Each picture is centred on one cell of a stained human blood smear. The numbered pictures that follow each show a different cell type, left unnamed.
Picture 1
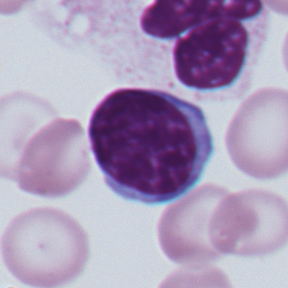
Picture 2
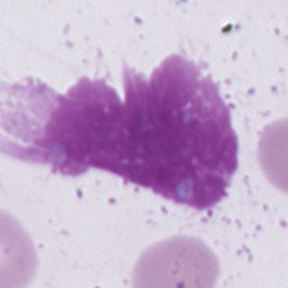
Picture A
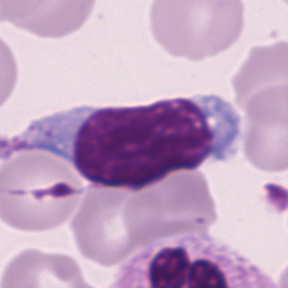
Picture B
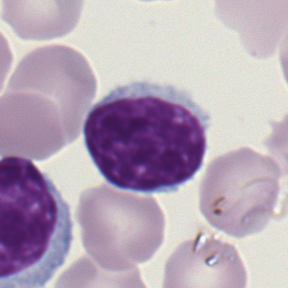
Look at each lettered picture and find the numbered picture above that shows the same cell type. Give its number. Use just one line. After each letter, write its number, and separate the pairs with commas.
A 1, B 1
